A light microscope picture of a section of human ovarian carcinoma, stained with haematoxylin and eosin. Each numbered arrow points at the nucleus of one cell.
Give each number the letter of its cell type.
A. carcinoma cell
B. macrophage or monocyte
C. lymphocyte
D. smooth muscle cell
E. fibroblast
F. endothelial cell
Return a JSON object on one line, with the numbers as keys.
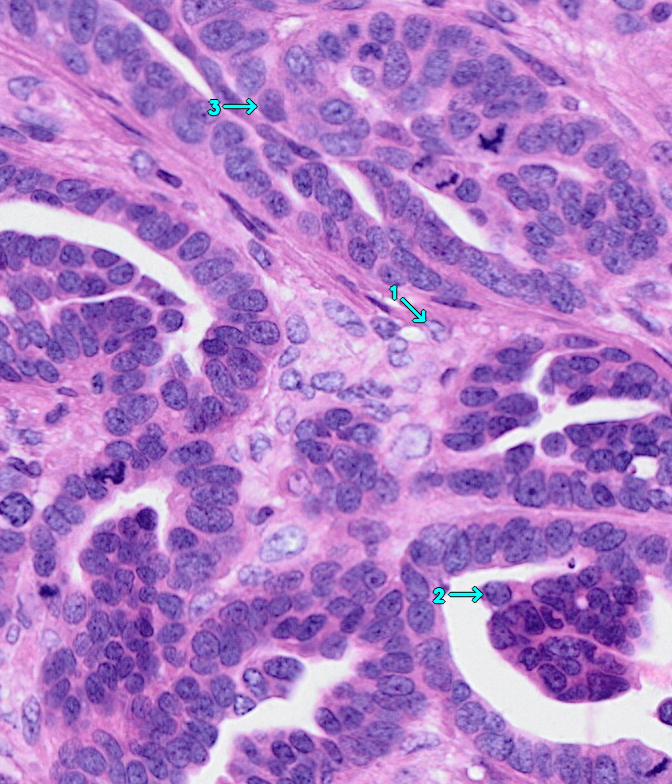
{"1": "E", "2": "A", "3": "A"}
